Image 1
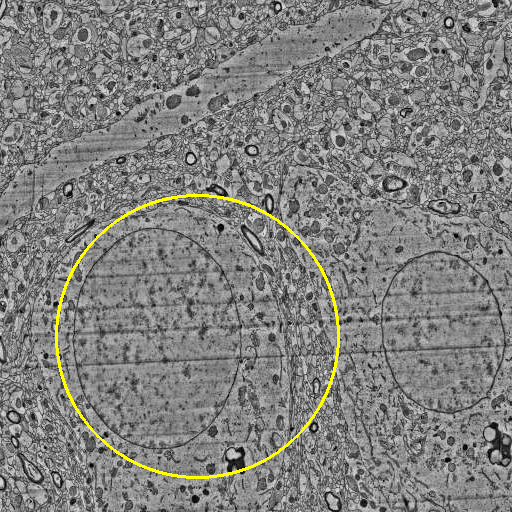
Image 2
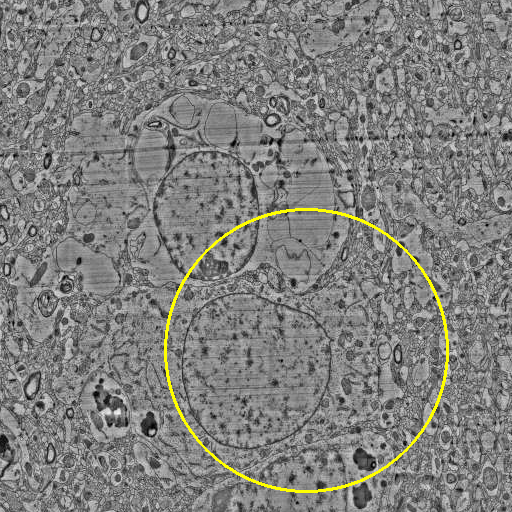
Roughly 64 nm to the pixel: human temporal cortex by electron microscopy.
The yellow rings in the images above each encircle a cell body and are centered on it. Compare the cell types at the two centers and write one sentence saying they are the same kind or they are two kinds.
Taken together, the two cells at the ring centers are the same kind.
